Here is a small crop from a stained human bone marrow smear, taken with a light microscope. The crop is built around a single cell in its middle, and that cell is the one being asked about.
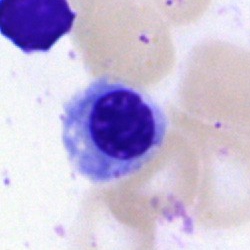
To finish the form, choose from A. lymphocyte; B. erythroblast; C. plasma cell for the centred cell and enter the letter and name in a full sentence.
The central cell is an erythroblast, which makes option B the right answer.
